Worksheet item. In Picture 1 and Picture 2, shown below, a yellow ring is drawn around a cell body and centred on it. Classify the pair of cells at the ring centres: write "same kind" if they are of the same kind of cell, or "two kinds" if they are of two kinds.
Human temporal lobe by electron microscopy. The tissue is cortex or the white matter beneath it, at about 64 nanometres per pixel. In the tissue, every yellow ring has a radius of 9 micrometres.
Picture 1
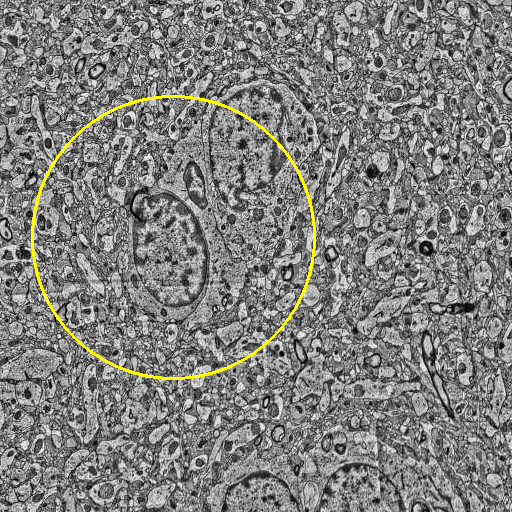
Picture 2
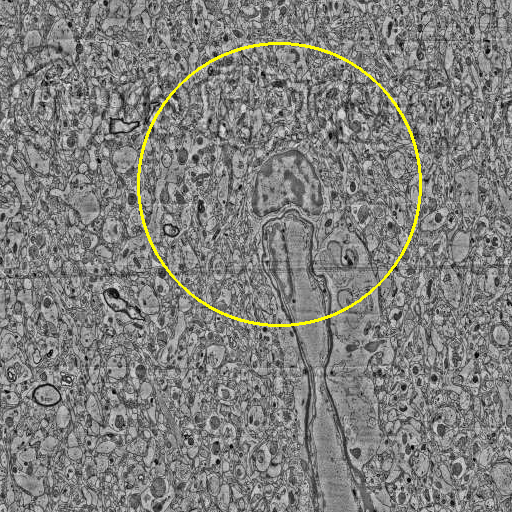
two kinds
